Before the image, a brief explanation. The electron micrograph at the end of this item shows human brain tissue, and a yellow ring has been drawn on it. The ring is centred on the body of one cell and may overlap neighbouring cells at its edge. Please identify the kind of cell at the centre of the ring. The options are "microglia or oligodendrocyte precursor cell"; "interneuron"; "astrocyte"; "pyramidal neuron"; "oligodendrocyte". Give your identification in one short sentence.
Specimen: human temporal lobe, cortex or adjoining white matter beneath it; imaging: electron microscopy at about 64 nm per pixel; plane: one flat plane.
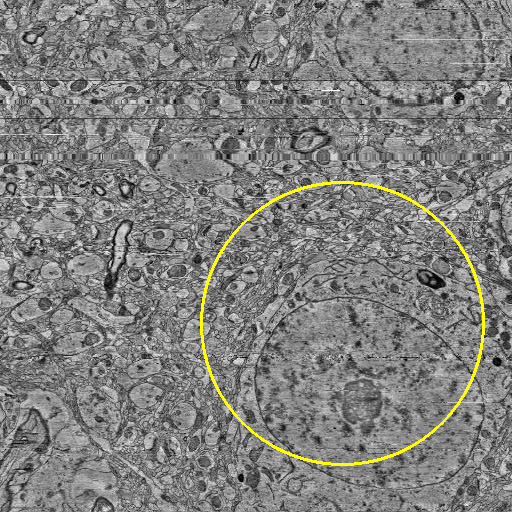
The ring has been placed around a pyramidal neuron.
